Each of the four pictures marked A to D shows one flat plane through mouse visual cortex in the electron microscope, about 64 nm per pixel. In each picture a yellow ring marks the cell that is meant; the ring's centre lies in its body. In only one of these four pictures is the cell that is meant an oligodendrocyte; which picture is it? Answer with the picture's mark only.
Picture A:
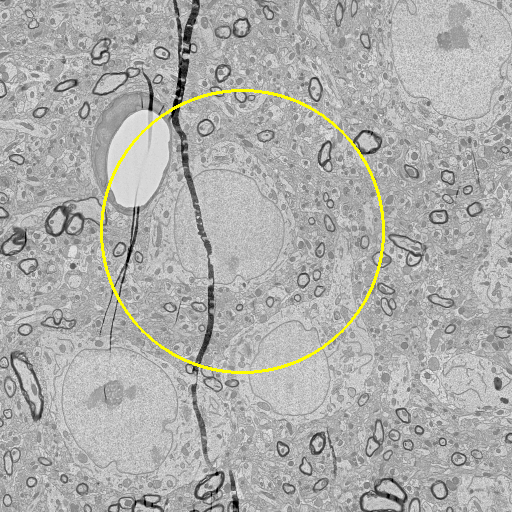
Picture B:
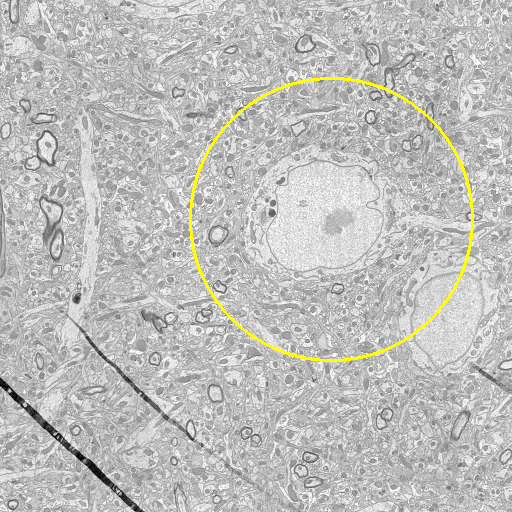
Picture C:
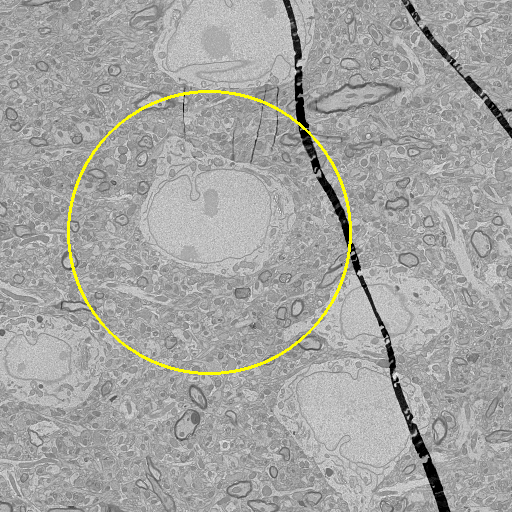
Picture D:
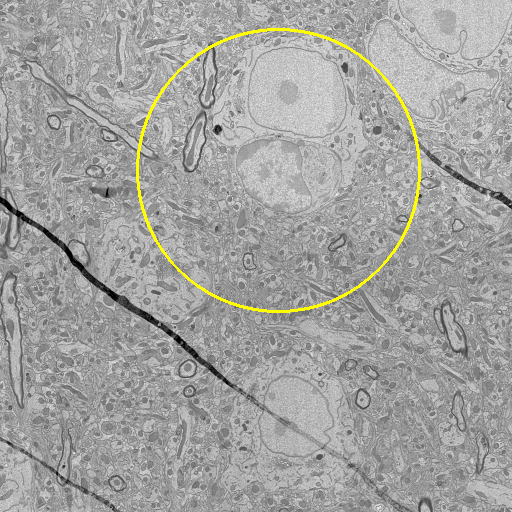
D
